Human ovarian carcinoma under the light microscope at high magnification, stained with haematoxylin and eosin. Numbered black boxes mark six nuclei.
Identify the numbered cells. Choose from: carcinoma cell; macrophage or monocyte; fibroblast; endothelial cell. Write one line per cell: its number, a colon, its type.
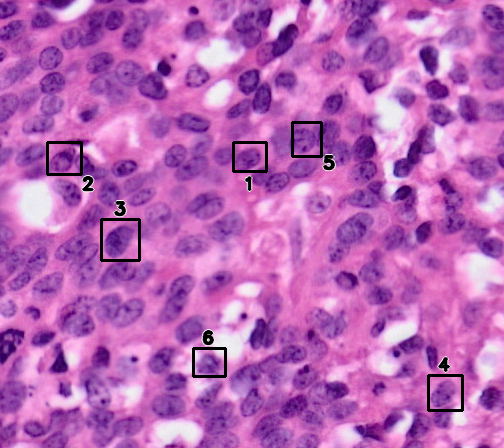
1: carcinoma cell
2: carcinoma cell
3: carcinoma cell
4: macrophage or monocyte
5: carcinoma cell
6: macrophage or monocyte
